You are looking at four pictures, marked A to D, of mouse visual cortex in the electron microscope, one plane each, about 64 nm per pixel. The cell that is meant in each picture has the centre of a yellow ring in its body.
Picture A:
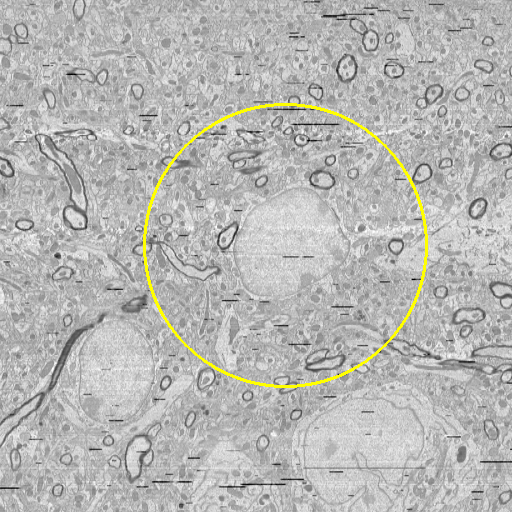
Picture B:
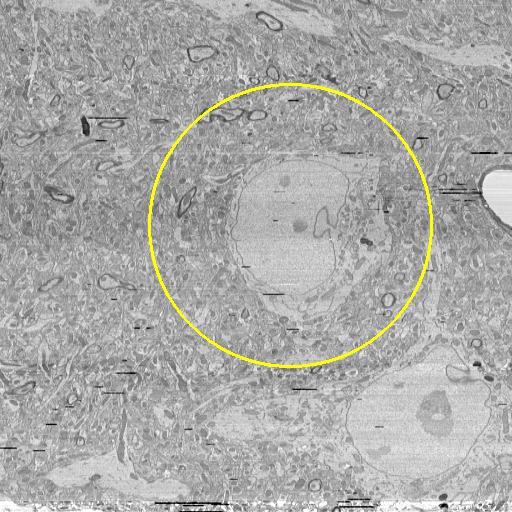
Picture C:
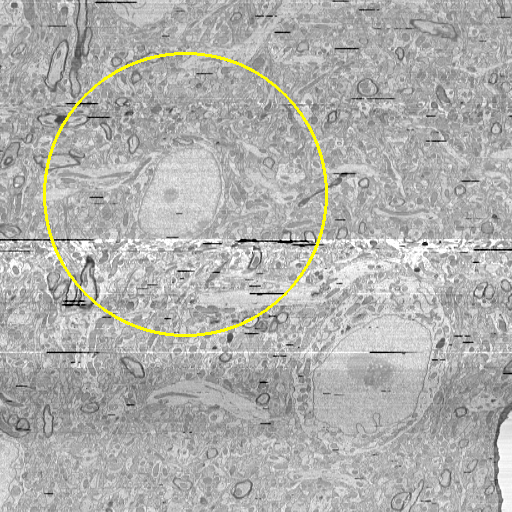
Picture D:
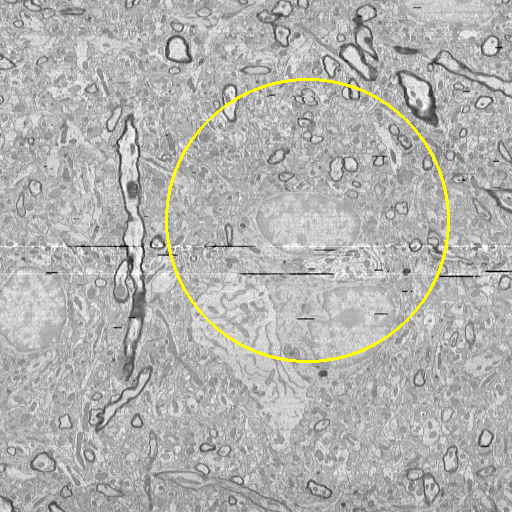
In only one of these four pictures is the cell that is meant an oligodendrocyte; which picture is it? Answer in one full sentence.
The oligodendrocyte is the one in picture D.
